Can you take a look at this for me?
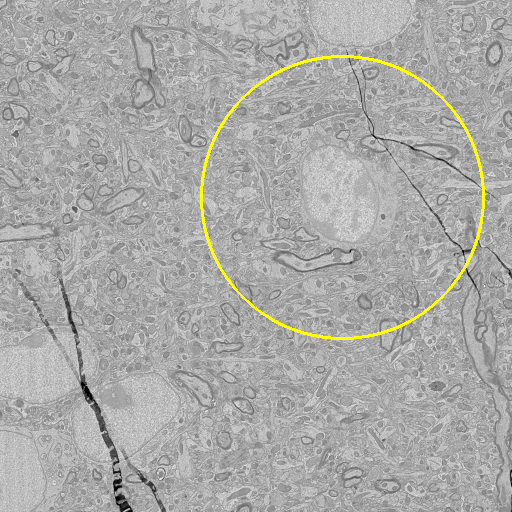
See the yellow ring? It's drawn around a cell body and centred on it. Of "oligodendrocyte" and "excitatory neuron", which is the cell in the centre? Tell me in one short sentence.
The one in the centre is an oligodendrocyte.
